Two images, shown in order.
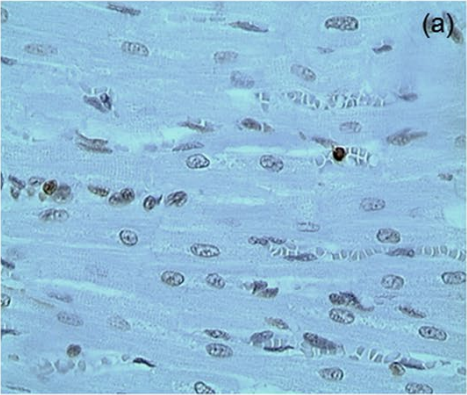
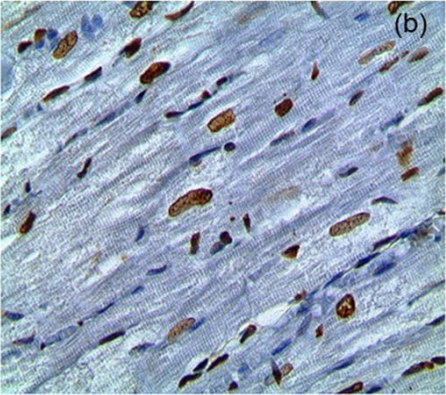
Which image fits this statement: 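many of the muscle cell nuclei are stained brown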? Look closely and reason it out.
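The second image. Second image: numerous elongated nuclei are stained dark brown.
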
